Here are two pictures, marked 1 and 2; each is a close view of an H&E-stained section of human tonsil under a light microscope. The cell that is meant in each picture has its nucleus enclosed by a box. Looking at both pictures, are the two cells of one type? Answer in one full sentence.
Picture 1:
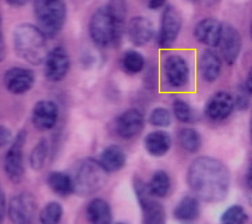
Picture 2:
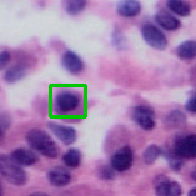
Yes, both cells are plasma cells.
